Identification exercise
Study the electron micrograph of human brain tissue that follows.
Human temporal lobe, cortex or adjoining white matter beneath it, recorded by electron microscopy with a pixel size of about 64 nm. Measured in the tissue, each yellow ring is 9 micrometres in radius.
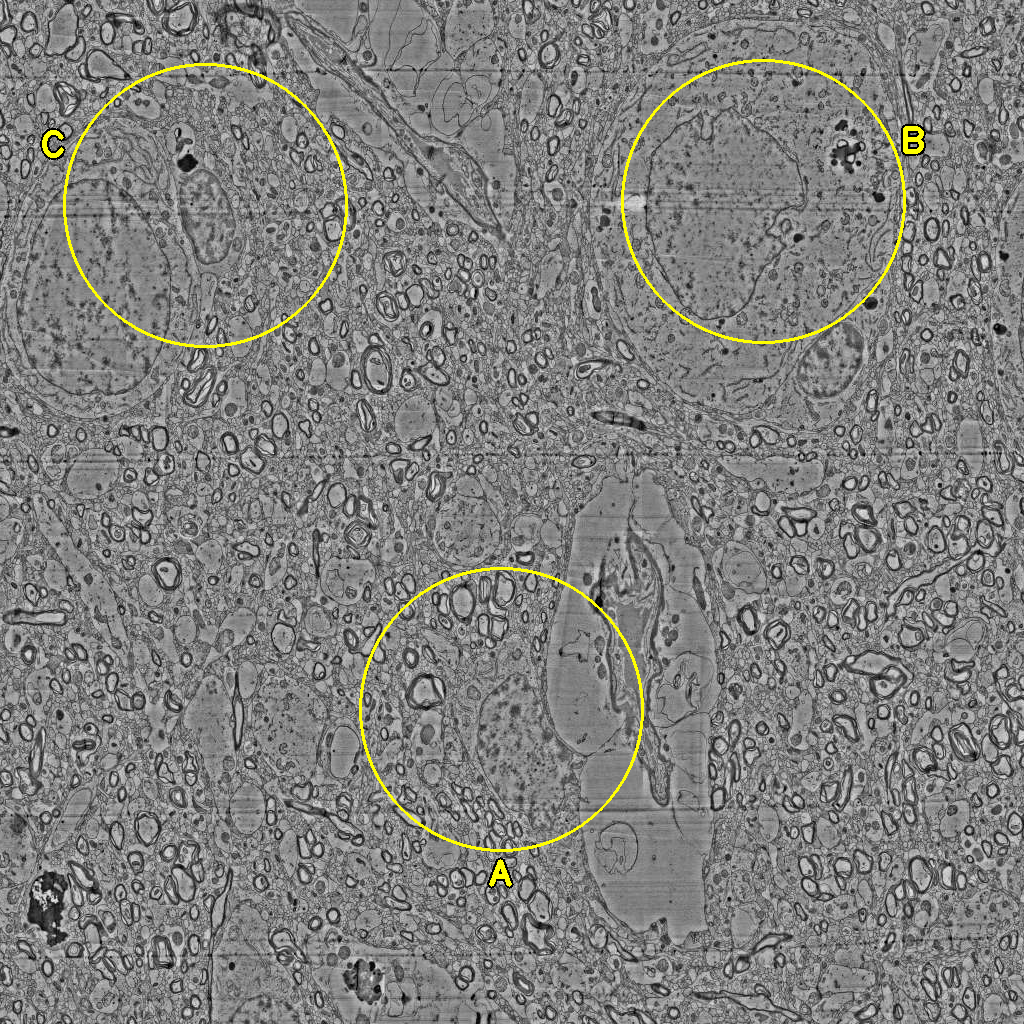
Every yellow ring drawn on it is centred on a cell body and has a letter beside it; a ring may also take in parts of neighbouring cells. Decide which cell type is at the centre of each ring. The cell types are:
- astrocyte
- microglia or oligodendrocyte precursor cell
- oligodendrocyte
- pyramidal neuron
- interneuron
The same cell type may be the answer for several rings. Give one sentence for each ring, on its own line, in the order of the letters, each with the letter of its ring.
Ring A encircles an interneuron.
Ring B encircles a pyramidal neuron.
Ring C encircles an oligodendrocyte.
